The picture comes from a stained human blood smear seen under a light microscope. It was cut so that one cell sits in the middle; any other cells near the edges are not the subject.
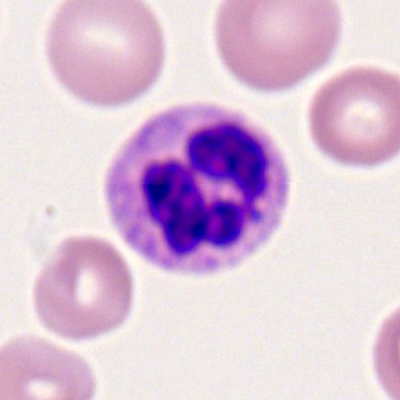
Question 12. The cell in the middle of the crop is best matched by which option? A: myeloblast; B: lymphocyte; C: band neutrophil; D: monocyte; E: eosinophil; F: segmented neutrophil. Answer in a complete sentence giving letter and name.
The correct option, F, names the middle cell as a segmented neutrophil.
